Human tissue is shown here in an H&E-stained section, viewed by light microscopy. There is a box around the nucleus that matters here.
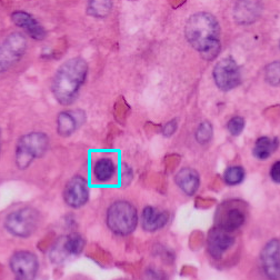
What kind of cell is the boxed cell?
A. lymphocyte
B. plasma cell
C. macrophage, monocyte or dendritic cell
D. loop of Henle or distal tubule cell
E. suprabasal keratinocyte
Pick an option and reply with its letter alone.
A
